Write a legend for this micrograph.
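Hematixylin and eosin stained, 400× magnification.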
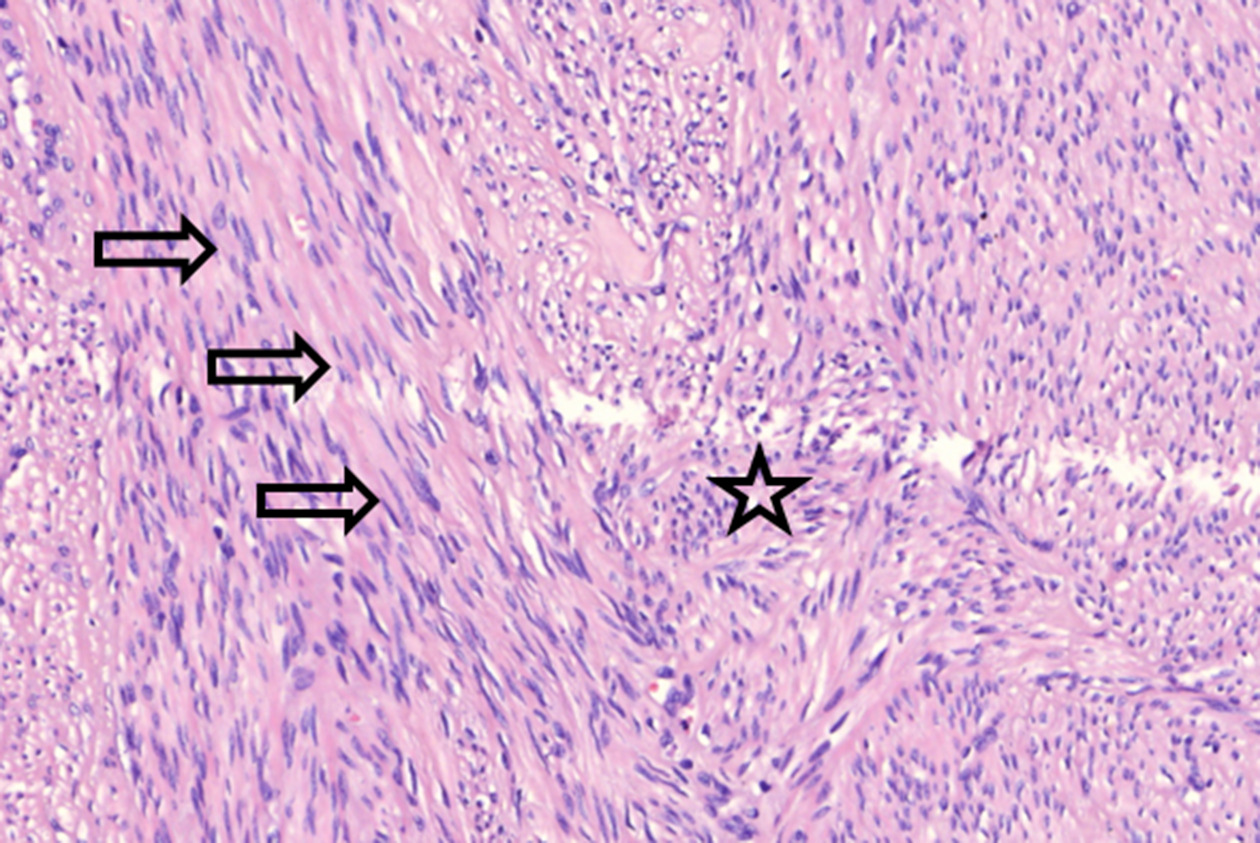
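Cell-rich tumour tissue made of spindle cells with elongated, tapered, dark purple nuclei set in pink fibrillary cytoplasm and stroma. The cells are arranged in long parallel bundles that in places intersect and cross each other at angles. Between the bundles lie paler, looser areas with small clear spaces.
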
